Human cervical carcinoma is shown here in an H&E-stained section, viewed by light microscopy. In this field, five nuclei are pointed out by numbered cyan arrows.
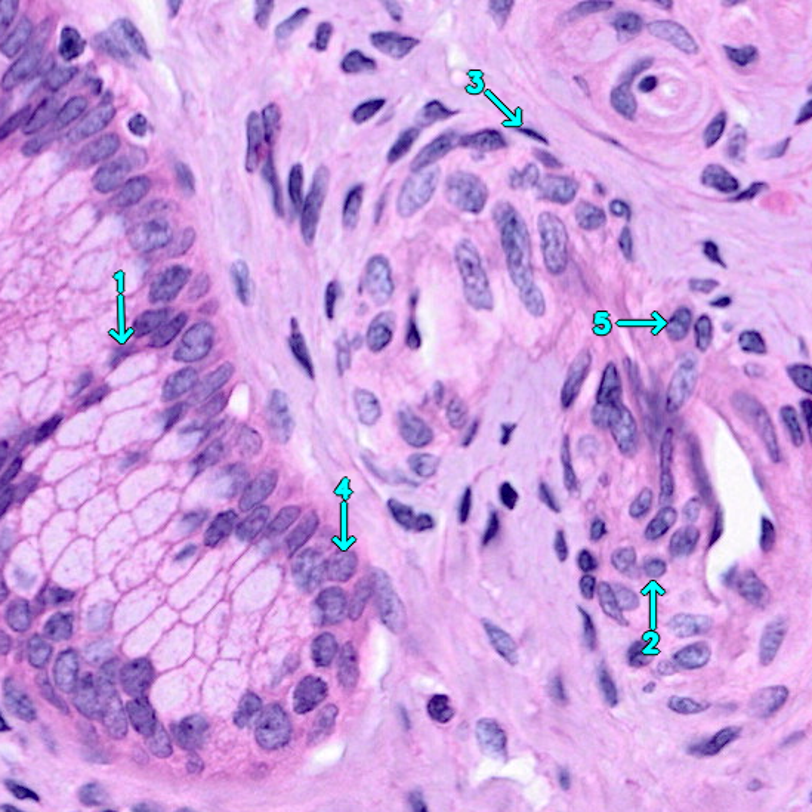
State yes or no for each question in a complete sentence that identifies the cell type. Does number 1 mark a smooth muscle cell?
No, cell 1 is not a smooth muscle cell at all but a secretory epithelial cell.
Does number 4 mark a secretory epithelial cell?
Yes, the cell identified by number 4 is a secretory epithelial cell.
